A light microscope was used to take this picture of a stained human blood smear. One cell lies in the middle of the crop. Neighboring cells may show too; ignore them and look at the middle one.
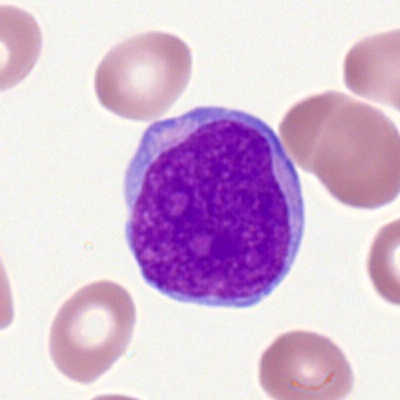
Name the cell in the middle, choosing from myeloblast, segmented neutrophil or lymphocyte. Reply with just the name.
myeloblast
